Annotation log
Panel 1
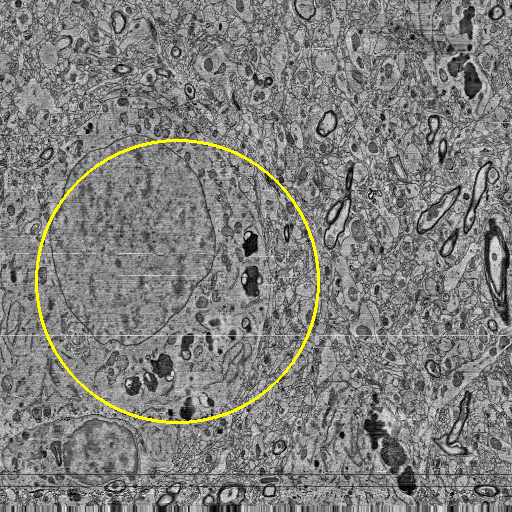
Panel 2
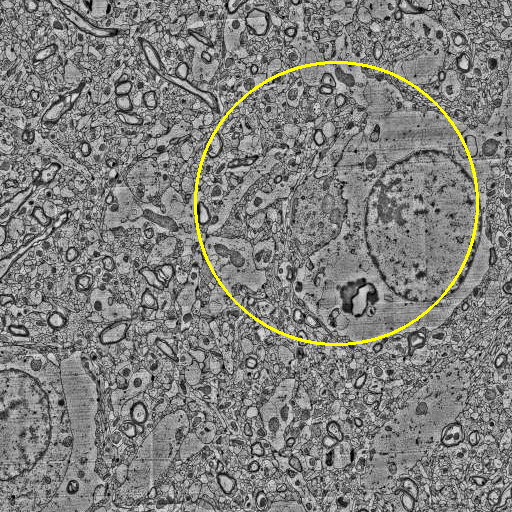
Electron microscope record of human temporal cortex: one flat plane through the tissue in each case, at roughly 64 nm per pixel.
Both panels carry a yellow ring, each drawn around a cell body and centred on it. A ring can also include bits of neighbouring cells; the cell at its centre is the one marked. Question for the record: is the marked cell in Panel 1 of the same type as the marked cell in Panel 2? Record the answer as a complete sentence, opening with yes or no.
No, the marked cells in Panel 1 and Panel 2 are of two types.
